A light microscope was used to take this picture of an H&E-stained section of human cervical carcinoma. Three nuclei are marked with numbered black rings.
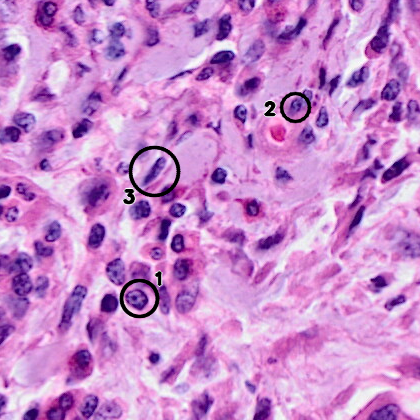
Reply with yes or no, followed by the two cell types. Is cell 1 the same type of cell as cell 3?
Yes, both cells 1 and 3 are lymphocytes.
